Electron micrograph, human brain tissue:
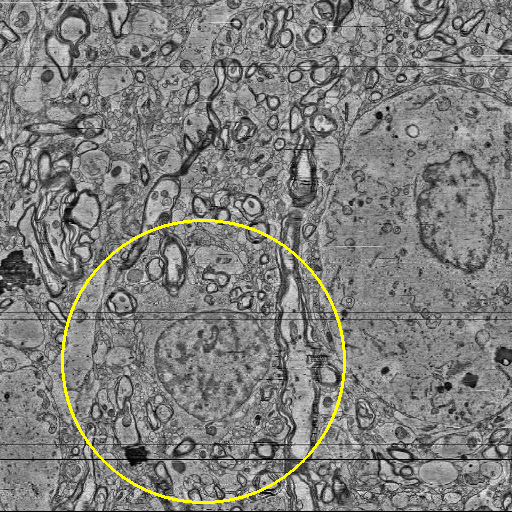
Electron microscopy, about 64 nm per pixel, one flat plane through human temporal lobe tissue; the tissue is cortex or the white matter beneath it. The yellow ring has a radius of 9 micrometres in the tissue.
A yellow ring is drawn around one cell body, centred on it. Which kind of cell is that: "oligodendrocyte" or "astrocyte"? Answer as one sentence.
It is an oligodendrocyte at the centre of the ring.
